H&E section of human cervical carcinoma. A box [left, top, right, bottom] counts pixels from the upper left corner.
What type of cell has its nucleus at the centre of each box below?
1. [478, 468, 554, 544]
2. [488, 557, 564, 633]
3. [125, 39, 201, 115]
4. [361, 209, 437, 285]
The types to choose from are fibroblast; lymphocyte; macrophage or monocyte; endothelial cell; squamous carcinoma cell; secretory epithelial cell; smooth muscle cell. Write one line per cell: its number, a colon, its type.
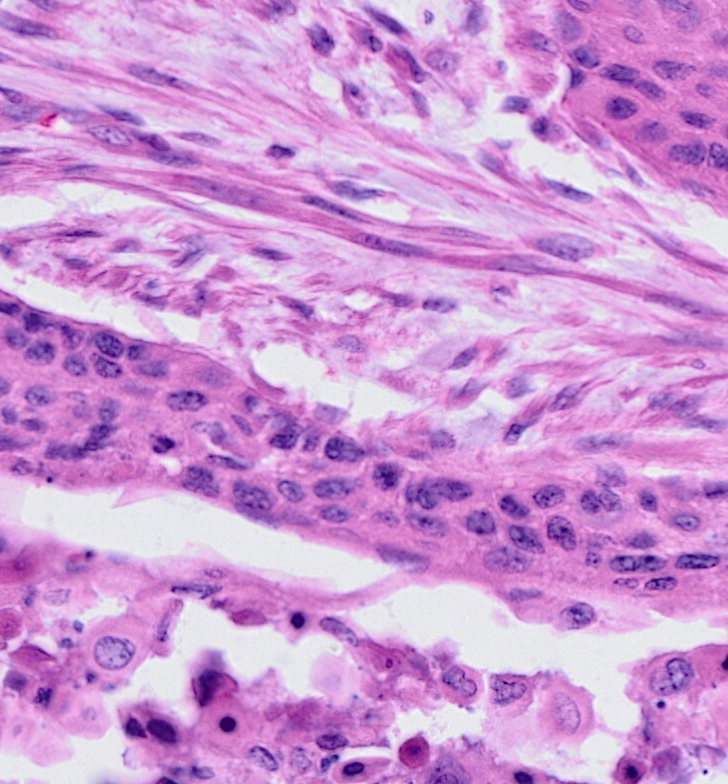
1: squamous carcinoma cell
2: squamous carcinoma cell
3: fibroblast
4: fibroblast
